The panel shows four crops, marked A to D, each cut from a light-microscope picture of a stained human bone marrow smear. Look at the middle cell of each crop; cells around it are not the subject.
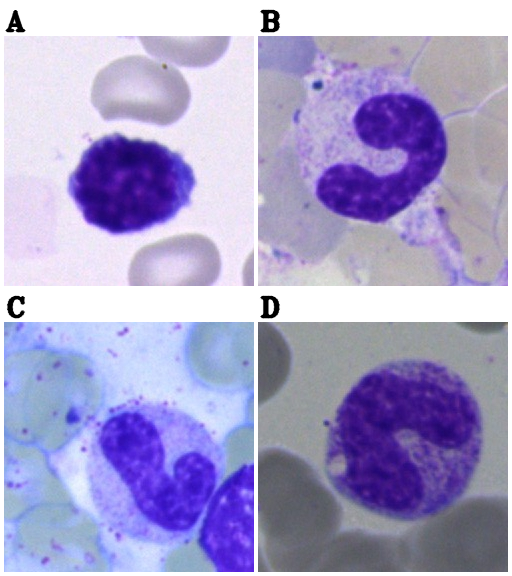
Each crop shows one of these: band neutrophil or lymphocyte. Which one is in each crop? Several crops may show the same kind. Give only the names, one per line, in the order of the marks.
lymphocyte
band neutrophil
band neutrophil
band neutrophil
